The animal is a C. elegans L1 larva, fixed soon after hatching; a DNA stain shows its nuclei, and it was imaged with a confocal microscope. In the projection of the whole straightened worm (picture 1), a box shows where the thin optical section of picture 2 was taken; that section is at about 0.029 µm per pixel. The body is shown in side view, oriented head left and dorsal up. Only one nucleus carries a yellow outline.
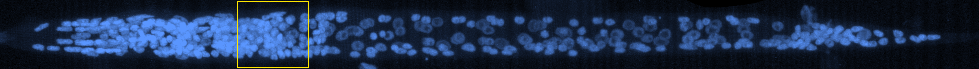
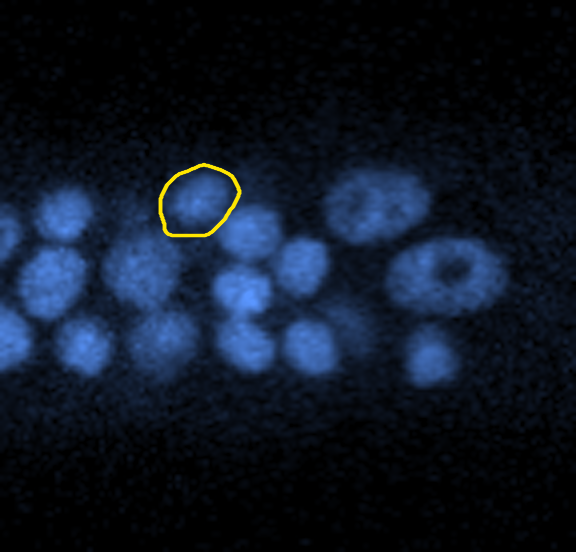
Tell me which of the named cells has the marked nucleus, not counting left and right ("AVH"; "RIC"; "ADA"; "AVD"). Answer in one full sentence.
It belongs to AVH, a neuron.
